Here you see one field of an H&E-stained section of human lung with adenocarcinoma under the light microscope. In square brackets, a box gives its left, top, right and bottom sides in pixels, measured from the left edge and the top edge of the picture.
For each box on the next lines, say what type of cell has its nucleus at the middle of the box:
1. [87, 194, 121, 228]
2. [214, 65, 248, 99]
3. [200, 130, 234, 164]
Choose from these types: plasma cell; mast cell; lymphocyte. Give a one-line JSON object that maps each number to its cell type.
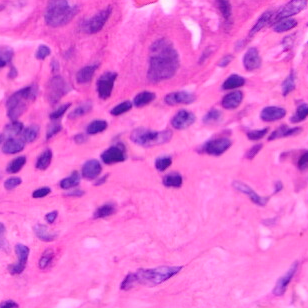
{"1": "plasma cell", "2": "lymphocyte", "3": "plasma cell"}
